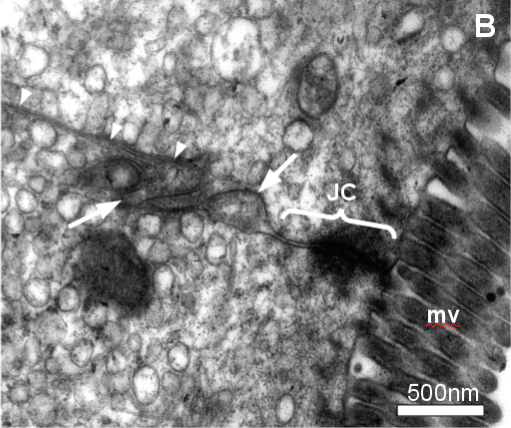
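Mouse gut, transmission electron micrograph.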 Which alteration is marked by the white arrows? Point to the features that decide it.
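Widening. The arrows point to places where the two membranes between neighbouring cells separate and enclose a pale space. Elsewhere along the same line the membranes run close together.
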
